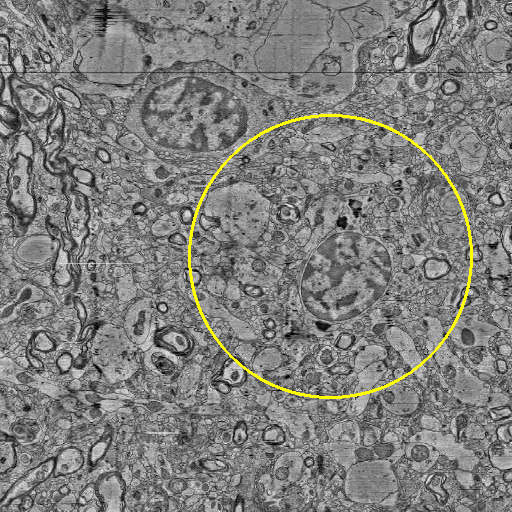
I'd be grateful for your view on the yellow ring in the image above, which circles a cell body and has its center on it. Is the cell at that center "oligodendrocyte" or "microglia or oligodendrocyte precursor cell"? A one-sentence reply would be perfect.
The cell at the center of the yellow ring is a microglial cell or oligodendrocyte precursor cell.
